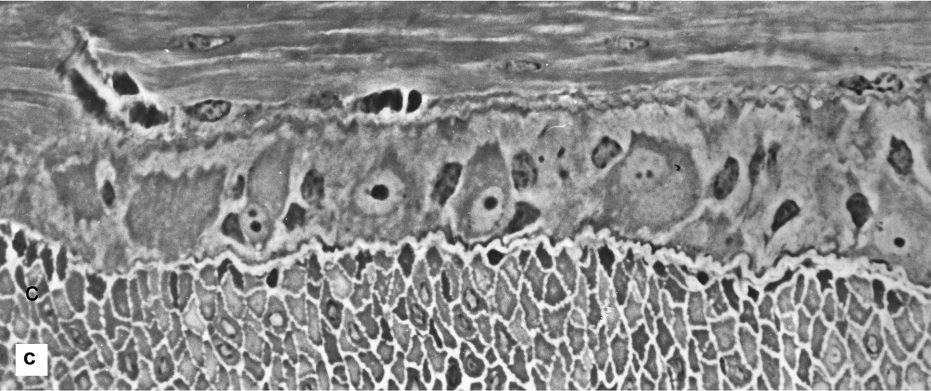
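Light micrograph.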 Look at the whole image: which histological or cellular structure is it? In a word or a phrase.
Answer: Auerbach’s ganglion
